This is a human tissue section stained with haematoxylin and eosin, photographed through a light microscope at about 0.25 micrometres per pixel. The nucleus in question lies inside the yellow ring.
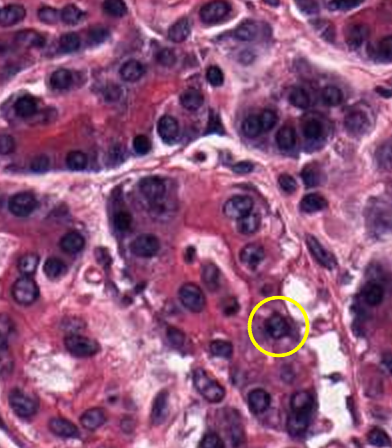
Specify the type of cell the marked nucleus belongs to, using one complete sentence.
The marked nucleus forms part of a pancreatic acinar cell.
